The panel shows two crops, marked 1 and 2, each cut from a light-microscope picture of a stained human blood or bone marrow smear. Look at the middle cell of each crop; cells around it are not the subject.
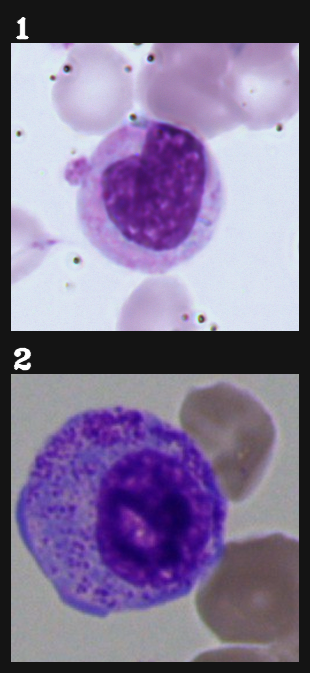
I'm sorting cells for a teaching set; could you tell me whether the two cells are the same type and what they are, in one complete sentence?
No, as for crop 1, it shows a metamyelocyte, and crop 2 shows a myelocyte.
